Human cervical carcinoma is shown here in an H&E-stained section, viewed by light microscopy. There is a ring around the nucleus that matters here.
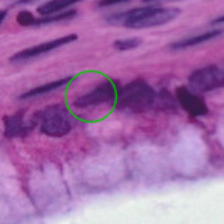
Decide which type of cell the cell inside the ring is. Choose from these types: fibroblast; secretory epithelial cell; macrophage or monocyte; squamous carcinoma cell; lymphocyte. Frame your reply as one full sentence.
For the purposes of cell typing, the cell inside the ring is categorized as a secretory epithelial cell.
